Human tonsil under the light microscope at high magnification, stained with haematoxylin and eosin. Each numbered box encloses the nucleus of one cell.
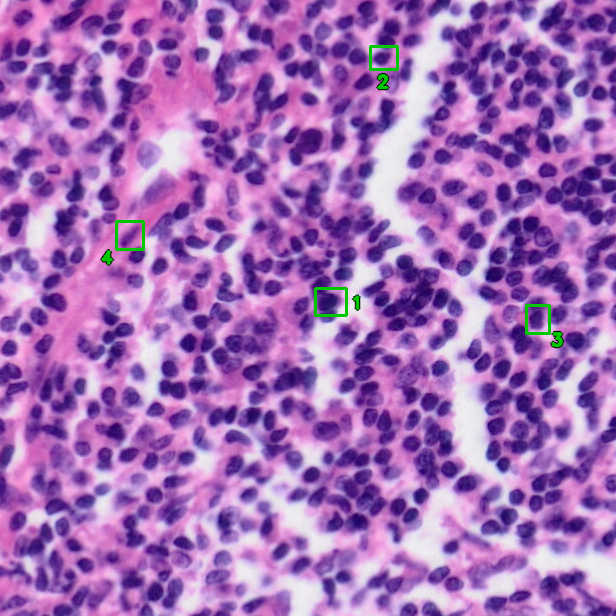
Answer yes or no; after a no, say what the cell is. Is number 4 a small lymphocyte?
No, it is an endothelial cell.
